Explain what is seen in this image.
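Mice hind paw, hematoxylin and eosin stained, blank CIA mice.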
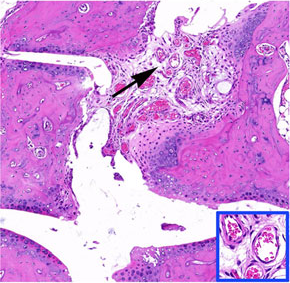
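In the gap, where the arrow points, sits a loose mass of synovial tissue with scattered purple nuclei and several round channels. The cartilage surfaces bordering the gap show purple-stained cells in rows within the pink matrix.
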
